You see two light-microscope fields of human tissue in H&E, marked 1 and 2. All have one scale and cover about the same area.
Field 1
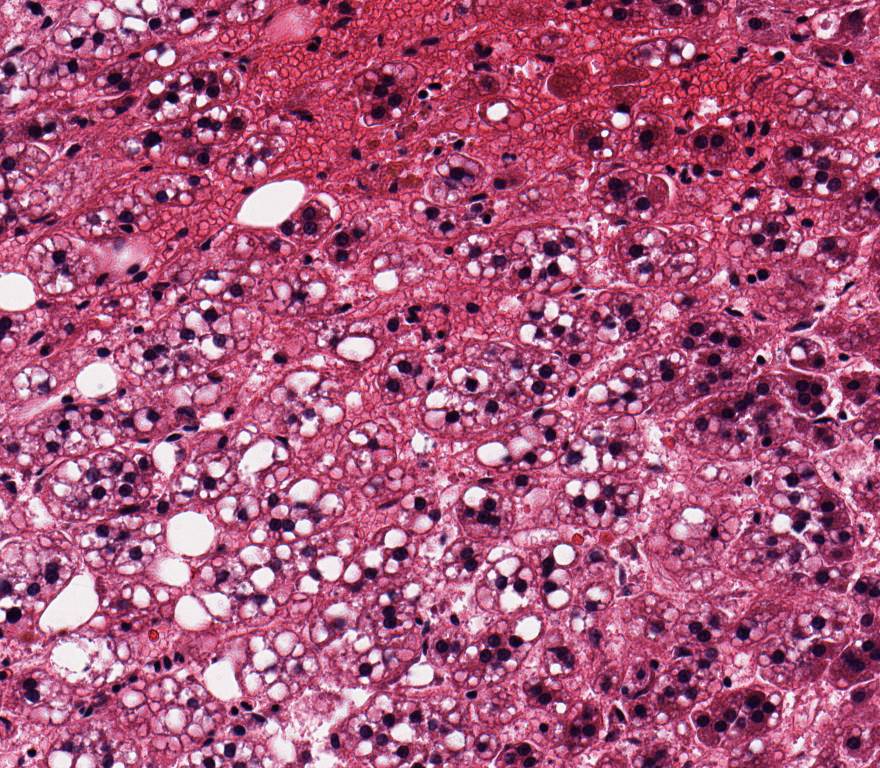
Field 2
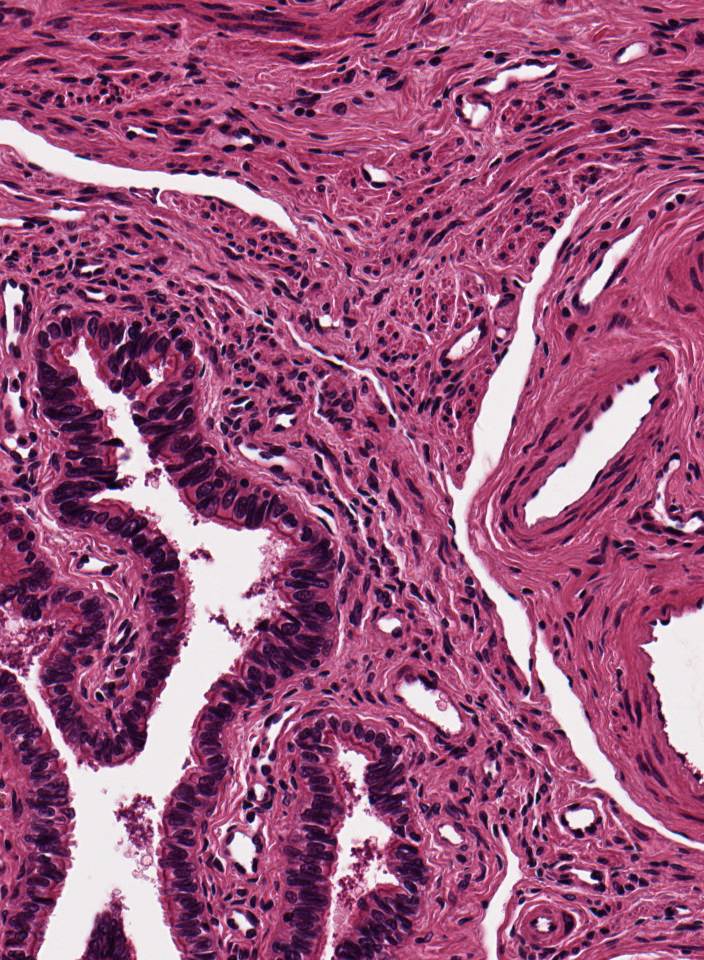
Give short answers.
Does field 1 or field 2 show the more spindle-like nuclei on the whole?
2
